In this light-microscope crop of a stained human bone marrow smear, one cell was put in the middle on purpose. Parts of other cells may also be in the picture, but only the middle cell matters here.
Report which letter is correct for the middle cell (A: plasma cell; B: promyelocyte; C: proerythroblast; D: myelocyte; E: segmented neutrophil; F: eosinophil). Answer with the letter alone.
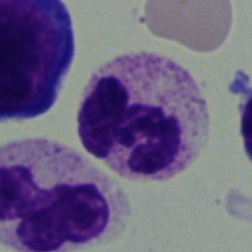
E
